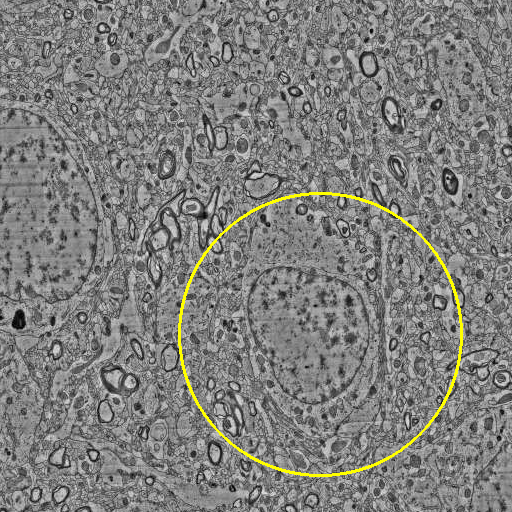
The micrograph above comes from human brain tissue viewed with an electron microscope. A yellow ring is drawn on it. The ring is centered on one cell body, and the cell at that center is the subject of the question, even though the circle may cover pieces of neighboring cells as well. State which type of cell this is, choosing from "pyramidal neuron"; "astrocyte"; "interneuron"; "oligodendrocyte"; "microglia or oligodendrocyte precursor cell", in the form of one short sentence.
The cell the ring is centered on is an interneuron.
